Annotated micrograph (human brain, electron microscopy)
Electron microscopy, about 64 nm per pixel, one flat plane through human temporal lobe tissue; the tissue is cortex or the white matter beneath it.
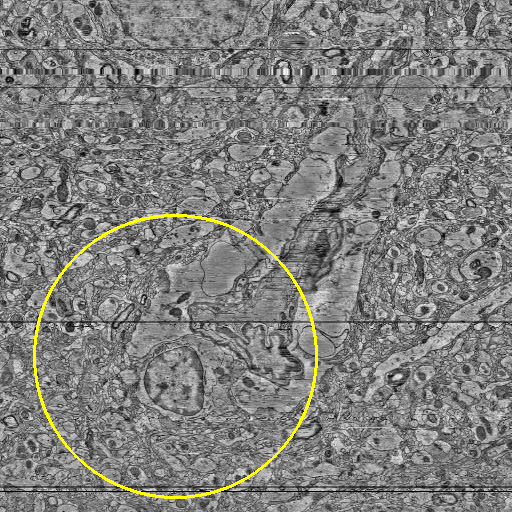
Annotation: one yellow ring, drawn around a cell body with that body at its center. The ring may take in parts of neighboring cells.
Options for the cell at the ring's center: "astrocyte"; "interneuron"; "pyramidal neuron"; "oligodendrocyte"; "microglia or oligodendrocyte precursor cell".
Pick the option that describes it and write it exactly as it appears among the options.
microglia or oligodendrocyte precursor cell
